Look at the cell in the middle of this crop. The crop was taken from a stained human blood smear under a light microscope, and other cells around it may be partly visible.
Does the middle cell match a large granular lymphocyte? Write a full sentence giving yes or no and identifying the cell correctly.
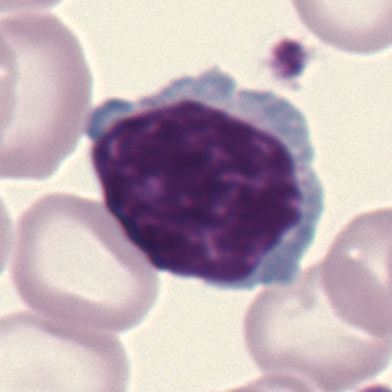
No, that is not a large granular lymphocyte; the middle cell is a typical lymphocyte.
